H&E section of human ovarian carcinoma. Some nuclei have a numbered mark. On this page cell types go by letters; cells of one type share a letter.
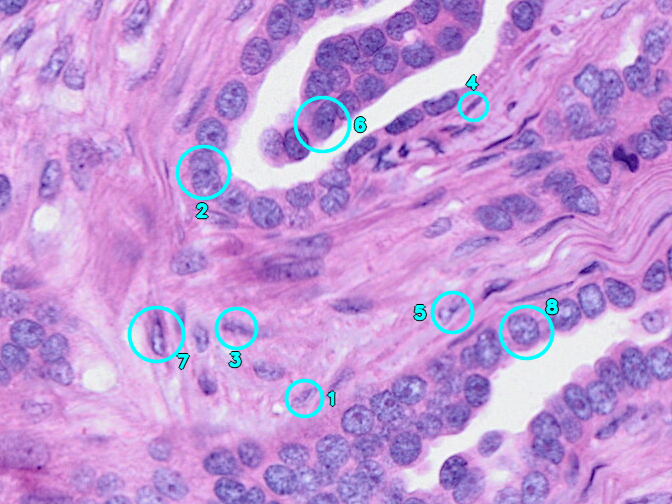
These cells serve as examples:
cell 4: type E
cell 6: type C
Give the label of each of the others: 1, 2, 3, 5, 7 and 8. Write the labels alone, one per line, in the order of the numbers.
type E
type C
type E
type E
type E
type C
